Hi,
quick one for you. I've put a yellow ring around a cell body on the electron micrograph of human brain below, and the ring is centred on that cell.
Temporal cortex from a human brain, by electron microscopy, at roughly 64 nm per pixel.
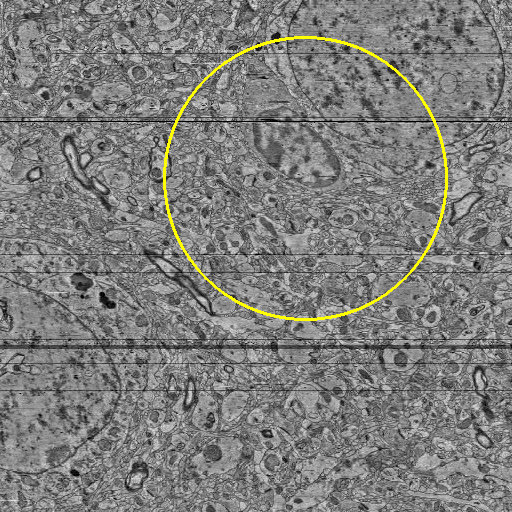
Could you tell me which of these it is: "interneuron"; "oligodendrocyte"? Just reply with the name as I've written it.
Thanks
oligodendrocyte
